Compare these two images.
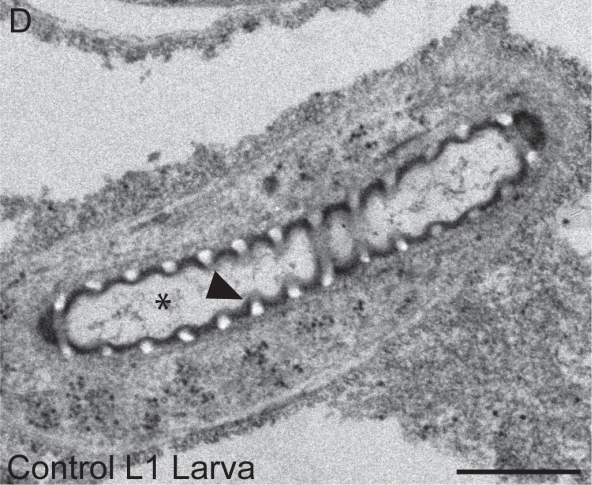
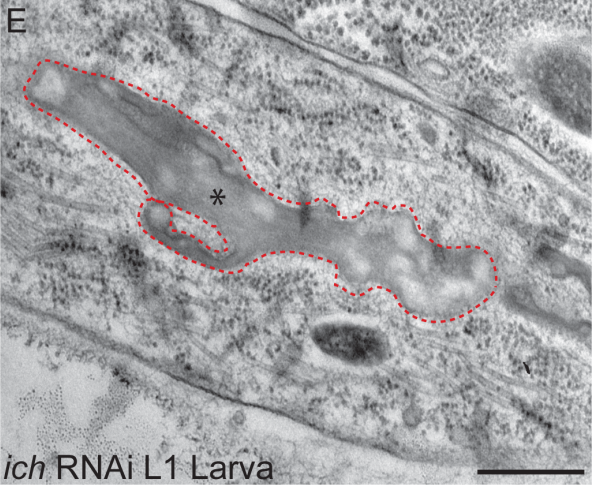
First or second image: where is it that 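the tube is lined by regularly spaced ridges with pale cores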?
The first image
